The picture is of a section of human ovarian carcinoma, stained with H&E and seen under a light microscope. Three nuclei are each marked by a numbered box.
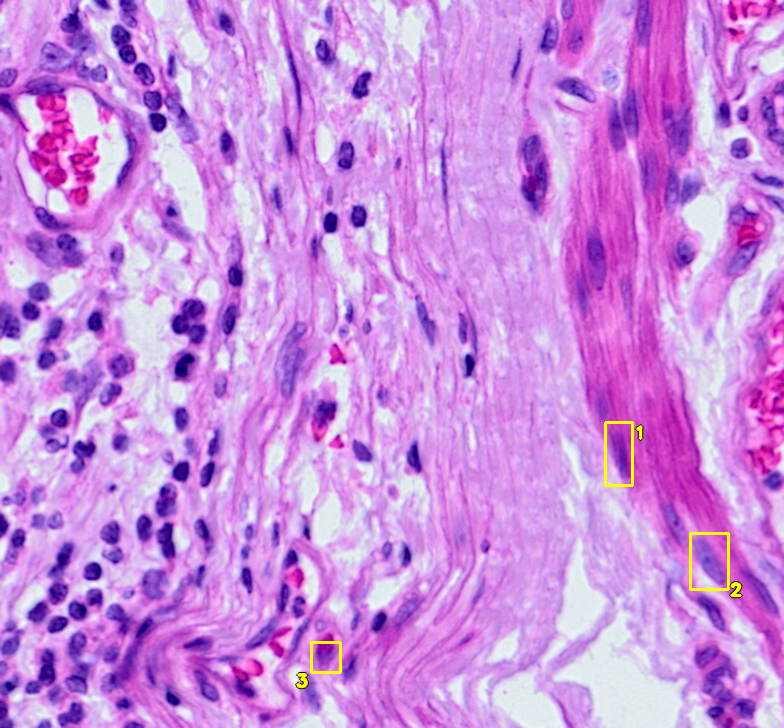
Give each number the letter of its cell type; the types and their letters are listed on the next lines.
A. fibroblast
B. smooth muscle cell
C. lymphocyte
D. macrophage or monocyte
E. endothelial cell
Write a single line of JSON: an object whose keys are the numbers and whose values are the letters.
{"1": "B", "2": "B", "3": "E"}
